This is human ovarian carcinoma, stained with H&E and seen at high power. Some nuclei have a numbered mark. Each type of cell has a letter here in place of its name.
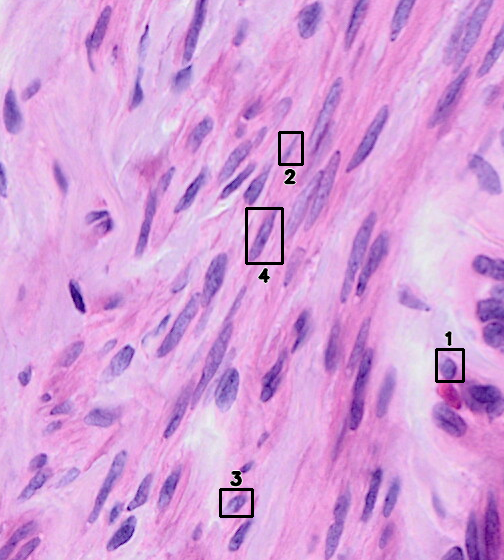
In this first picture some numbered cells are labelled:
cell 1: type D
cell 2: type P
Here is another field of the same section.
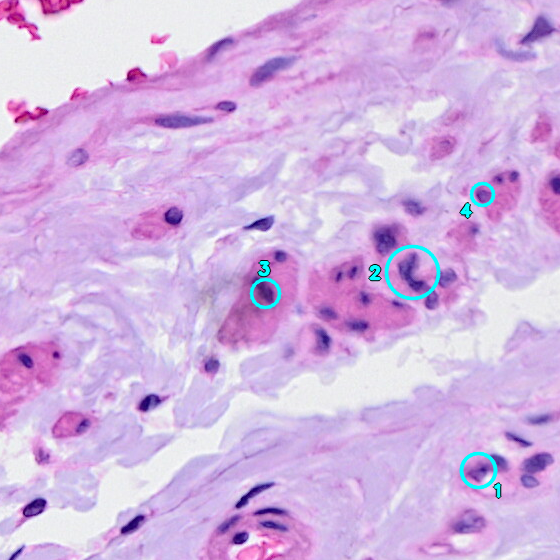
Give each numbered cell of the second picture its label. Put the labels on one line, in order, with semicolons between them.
type D; type D; type P; type P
